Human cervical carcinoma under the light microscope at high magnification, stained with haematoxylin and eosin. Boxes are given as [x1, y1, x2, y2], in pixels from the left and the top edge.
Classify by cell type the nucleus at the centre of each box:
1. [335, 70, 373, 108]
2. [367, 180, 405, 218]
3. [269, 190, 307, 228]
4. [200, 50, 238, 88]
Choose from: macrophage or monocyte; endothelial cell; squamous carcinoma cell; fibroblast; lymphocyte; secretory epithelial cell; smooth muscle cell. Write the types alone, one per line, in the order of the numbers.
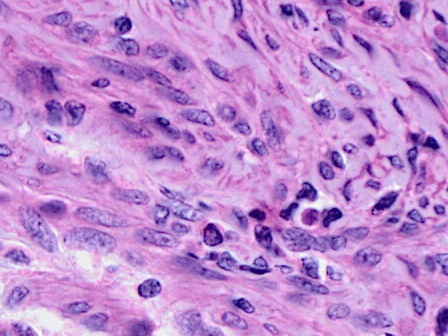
smooth muscle cell
lymphocyte
lymphocyte
smooth muscle cell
